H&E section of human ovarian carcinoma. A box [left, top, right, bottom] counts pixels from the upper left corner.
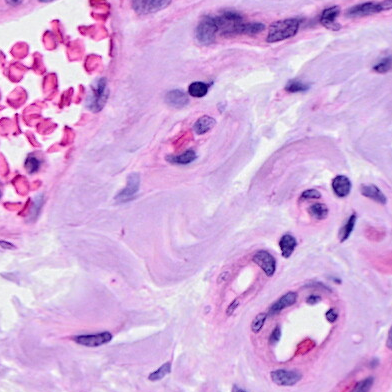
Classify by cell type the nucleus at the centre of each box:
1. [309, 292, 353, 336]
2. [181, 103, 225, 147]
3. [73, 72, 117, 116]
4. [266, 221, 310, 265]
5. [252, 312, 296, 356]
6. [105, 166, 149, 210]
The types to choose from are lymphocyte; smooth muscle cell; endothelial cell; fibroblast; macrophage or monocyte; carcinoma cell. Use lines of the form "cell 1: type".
cell 1: endothelial cell
cell 2: endothelial cell
cell 3: endothelial cell
cell 4: lymphocyte
cell 5: endothelial cell
cell 6: fibroblast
